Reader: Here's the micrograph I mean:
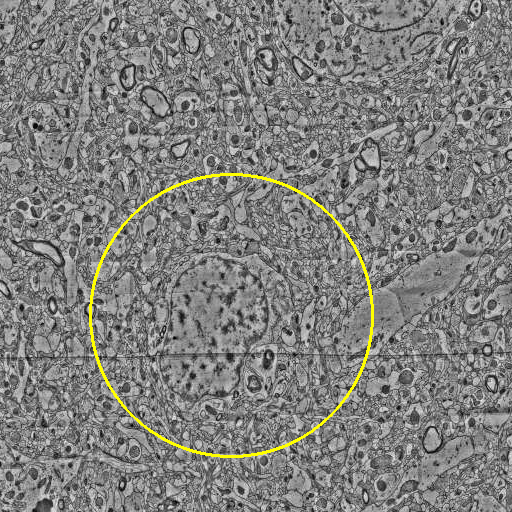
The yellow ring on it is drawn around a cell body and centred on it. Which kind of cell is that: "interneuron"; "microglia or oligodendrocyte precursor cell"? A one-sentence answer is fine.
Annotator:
The ring is centred on an interneuron.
